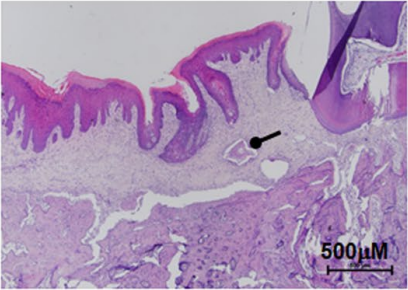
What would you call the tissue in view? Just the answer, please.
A: Continuous oral mucosa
